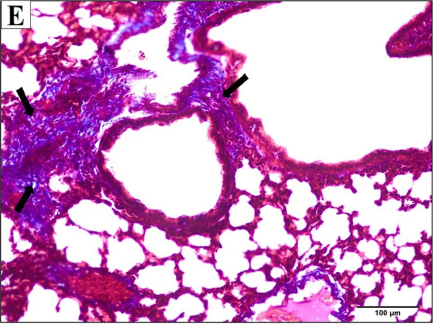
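Lung tissue with two airways cut across, each lined by a thin layer of epithelial cells with red-purple cytoplasm and dark nuclei. Surrounding the airways, especially toward the left, is a broad, irregular zone of intense blue fibrous collagen mixed with scattered nuclei, extending along the space between the airways. Beyond this zone the alveolar parenchyma looks open, with thin red-stained septa outlining empty air spaces. At the bottom small vessels containing pink blood are seen.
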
